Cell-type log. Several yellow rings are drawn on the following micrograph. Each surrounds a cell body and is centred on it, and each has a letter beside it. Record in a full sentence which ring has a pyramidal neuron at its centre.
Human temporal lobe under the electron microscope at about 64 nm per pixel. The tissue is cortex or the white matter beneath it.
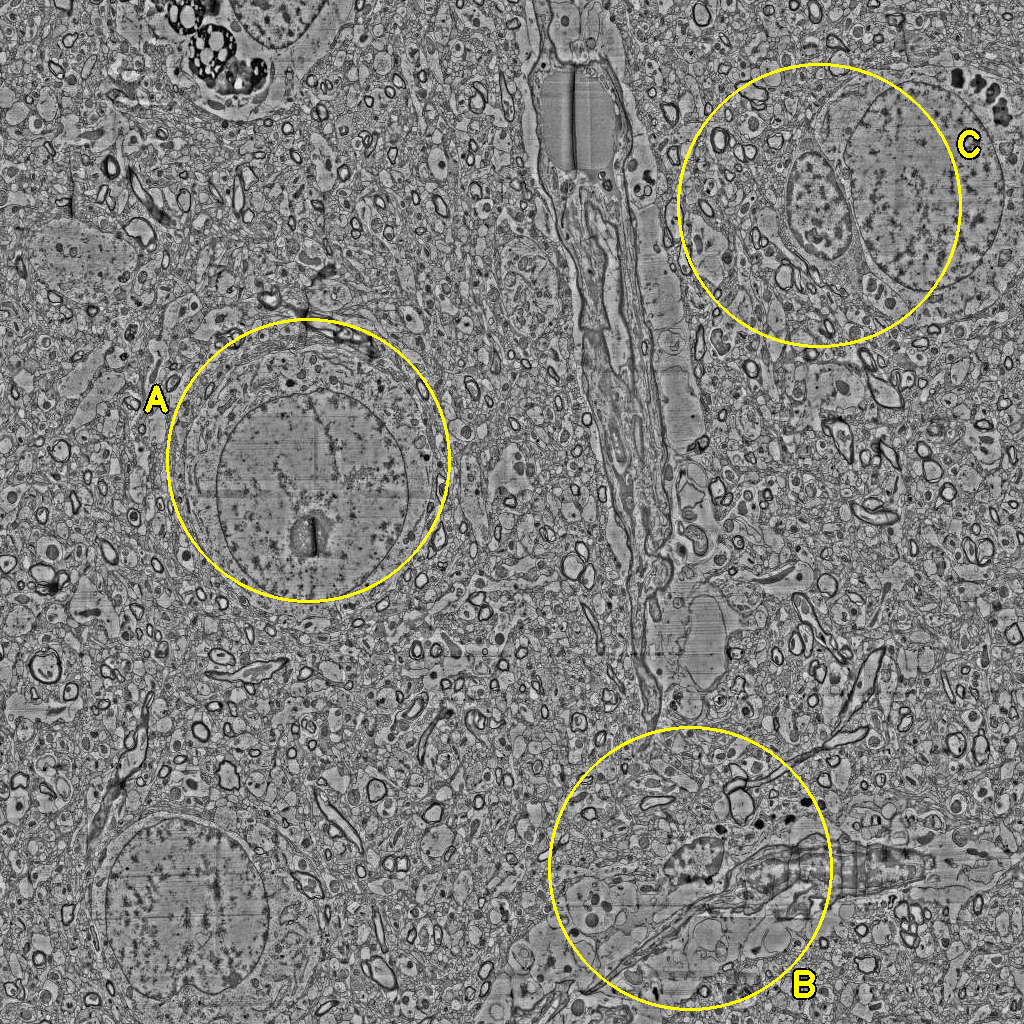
Ring A has it at its centre.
